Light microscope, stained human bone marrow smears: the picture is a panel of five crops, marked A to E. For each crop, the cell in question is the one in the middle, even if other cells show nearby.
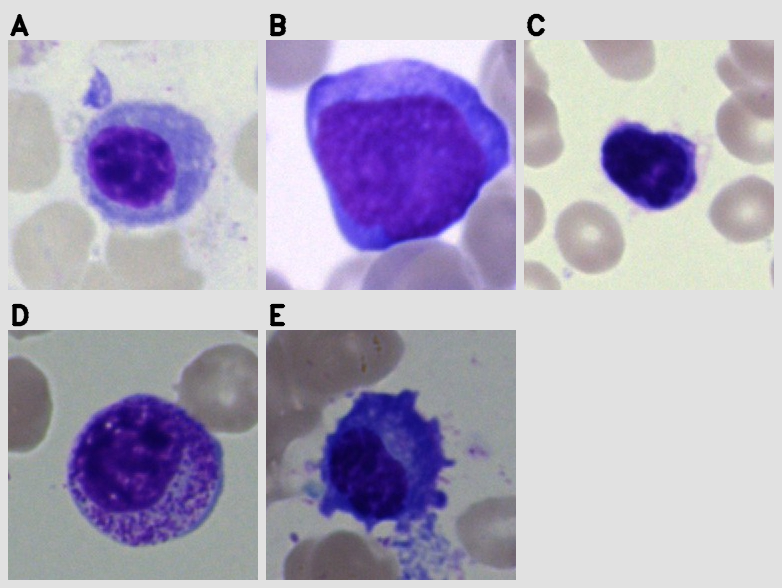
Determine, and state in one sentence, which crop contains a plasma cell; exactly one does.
The one crop in the set with a plasma cell is crop E.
